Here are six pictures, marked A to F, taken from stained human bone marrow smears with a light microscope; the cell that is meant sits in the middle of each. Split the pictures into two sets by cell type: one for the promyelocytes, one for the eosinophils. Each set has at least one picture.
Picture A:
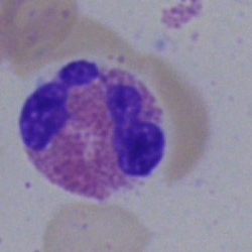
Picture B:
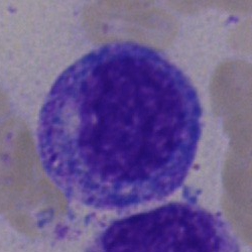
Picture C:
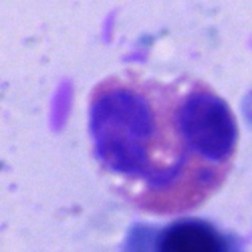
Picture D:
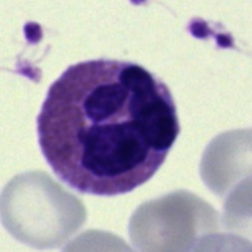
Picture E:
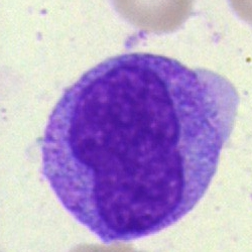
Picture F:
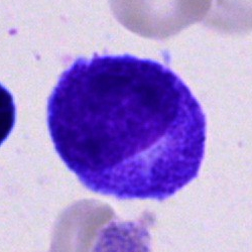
A: eosinophil
B: promyelocyte
C: eosinophil
D: eosinophil
E: promyelocyte
F: promyelocyte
